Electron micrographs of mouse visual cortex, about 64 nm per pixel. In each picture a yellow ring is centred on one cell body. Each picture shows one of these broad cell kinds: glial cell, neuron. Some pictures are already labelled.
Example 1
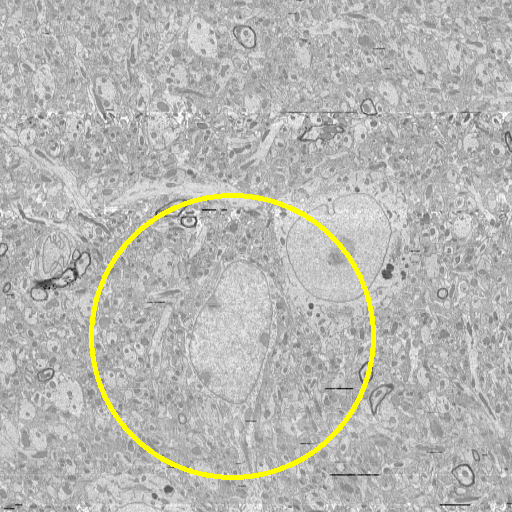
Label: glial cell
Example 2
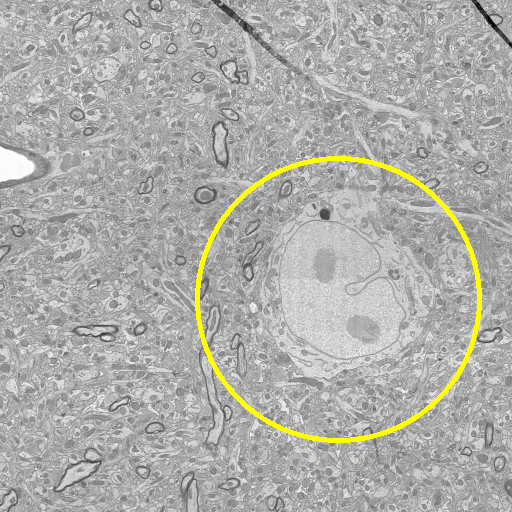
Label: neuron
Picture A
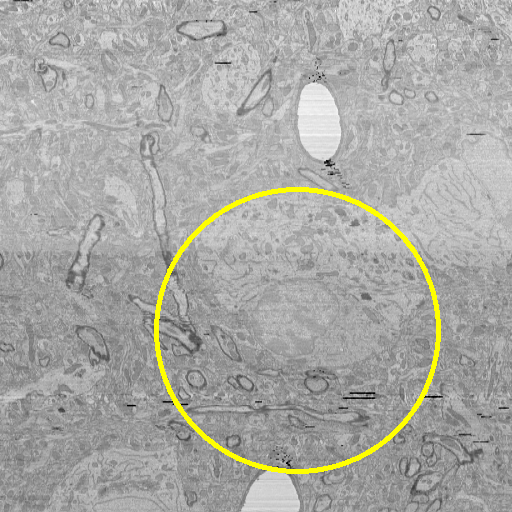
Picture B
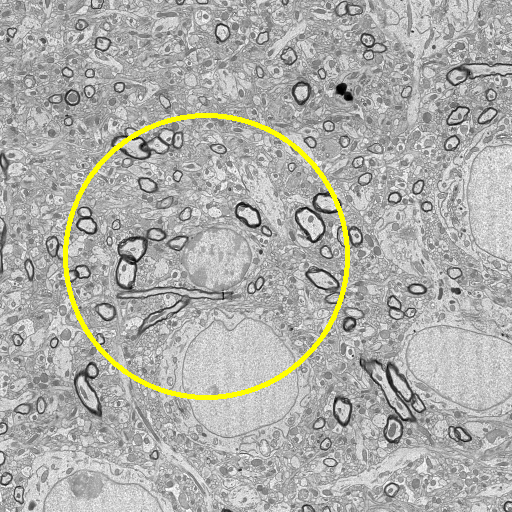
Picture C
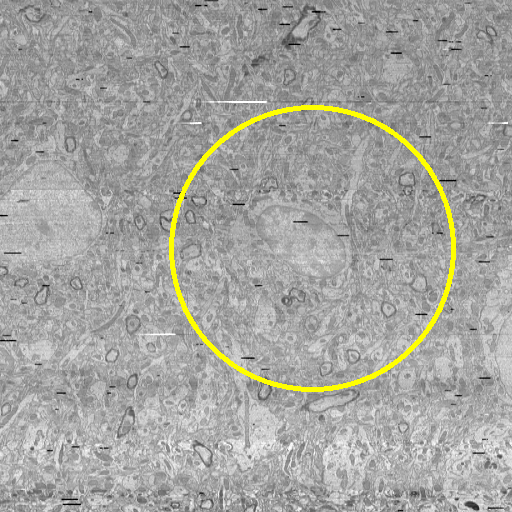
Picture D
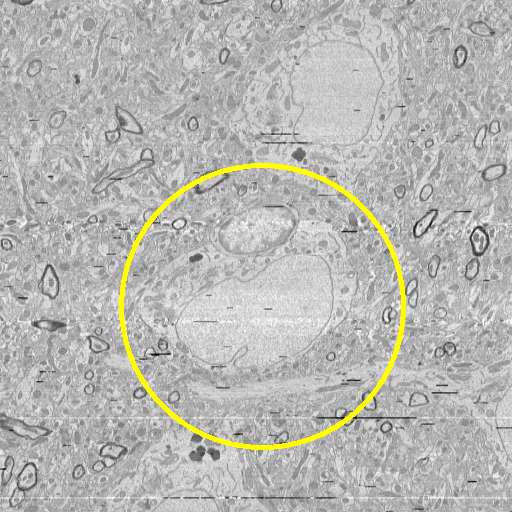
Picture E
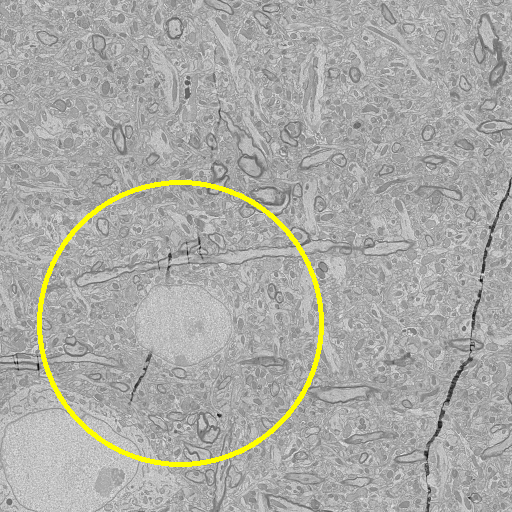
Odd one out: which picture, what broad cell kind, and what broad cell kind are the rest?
Picture D: neuron. All others: glial cell.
